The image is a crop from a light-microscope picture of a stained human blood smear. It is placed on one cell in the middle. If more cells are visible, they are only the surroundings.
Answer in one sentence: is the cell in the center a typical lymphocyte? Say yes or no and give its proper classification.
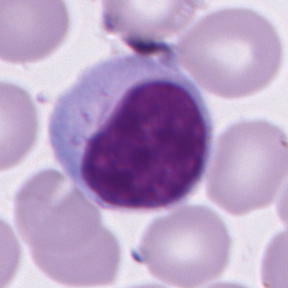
No, the central cell qualifies as a large granular lymphocyte rather than as a typical lymphocyte.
